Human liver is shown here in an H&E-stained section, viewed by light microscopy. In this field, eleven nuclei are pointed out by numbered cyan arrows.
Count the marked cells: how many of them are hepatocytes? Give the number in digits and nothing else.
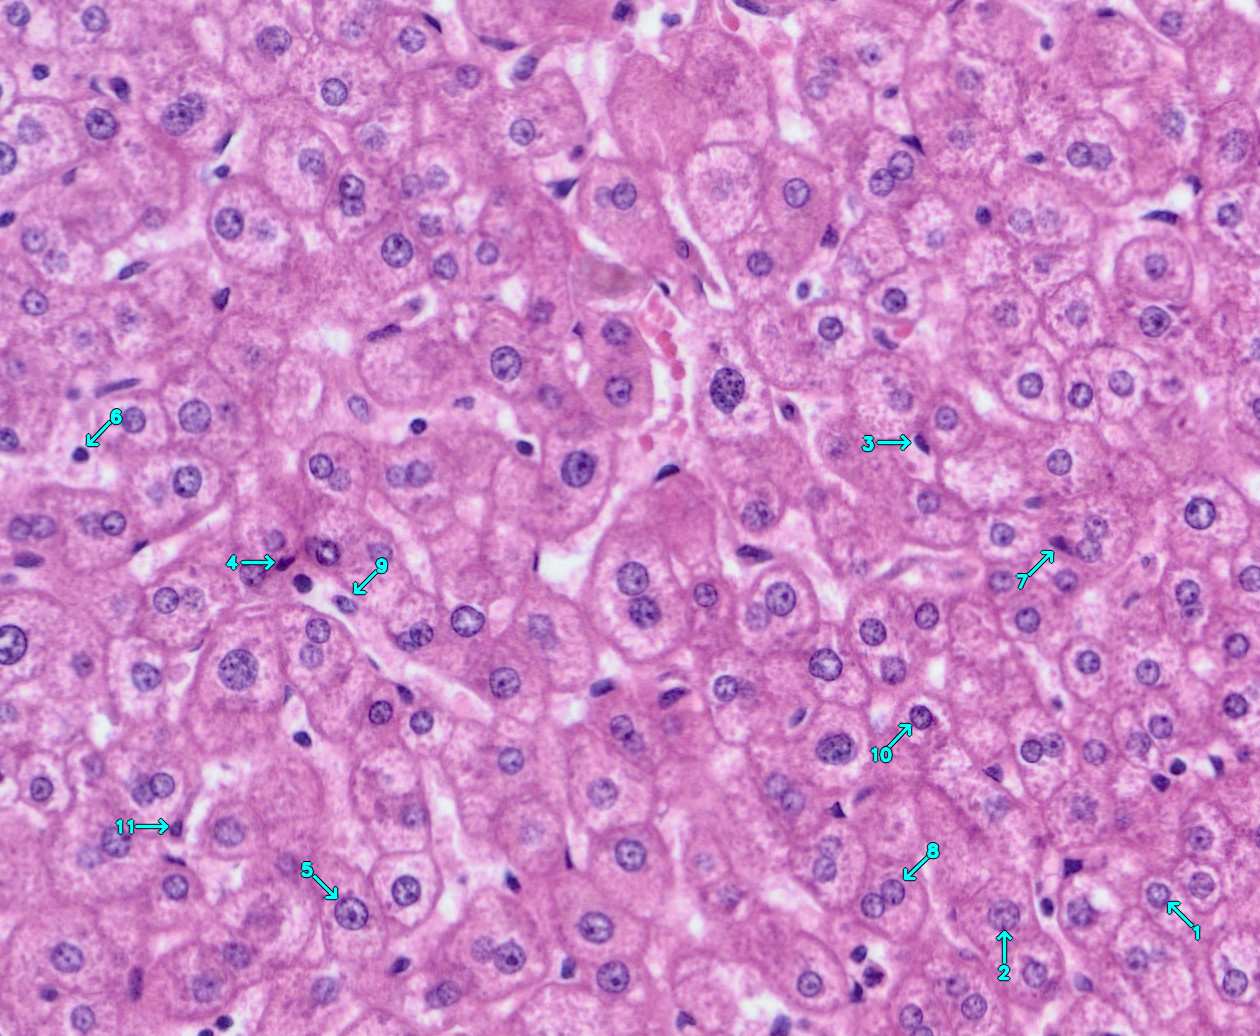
5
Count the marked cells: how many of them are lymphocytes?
1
